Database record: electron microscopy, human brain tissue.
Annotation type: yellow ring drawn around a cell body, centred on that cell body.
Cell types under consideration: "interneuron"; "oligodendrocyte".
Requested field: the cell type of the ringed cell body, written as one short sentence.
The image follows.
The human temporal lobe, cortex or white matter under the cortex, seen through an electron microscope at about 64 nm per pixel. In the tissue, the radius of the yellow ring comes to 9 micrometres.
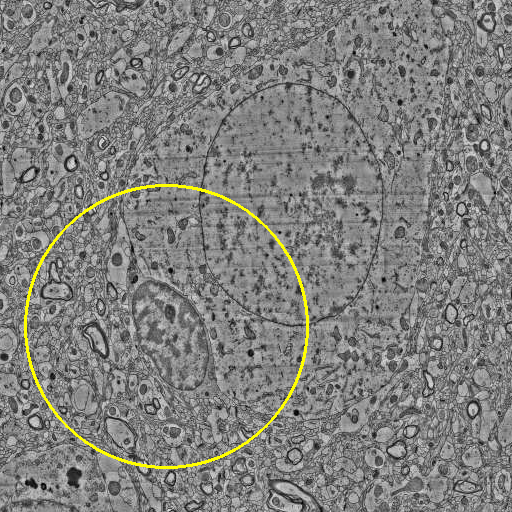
The ringed cell body represents an oligodendrocyte.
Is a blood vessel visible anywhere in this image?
No, no blood vessel shows in the picture.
